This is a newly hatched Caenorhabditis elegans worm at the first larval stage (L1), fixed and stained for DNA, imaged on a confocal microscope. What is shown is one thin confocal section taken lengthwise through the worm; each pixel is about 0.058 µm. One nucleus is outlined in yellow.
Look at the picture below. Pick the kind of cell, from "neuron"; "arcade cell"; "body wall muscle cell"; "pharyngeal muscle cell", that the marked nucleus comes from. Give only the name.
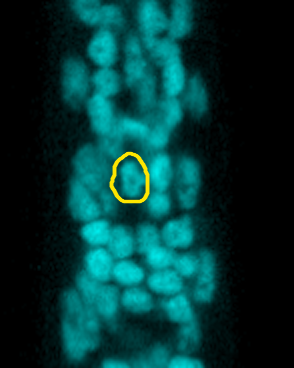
pharyngeal muscle cell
